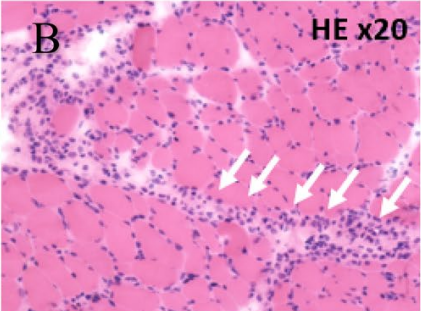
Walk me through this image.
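Skeletal muscle fibres are cut across and appear as pink, polygonal profiles with dark nuclei at their edges. Between groups of these fibres runs a broad band crowded with small, round, dark-blue nuclei, packed far more densely than the nuclei of the fibres themselves. The crowded cells spread from this band into the spaces between neighbouring fibres. The fibres vary somewhat in size and shape. The crowded band is an inflammatory infiltrate lying mainly in the perimysial area between fascicles.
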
